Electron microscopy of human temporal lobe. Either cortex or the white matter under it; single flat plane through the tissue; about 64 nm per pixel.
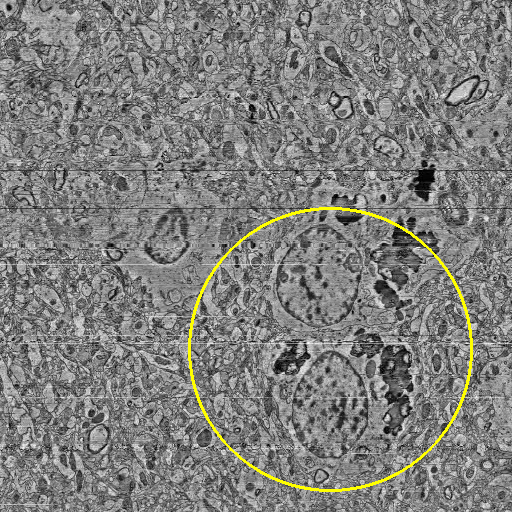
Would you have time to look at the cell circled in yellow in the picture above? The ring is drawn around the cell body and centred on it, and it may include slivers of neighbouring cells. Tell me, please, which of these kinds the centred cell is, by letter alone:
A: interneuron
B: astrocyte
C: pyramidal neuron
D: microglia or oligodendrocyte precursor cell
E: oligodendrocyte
B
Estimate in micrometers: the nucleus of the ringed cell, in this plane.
About 7 by 5 micrometers, in this plane.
